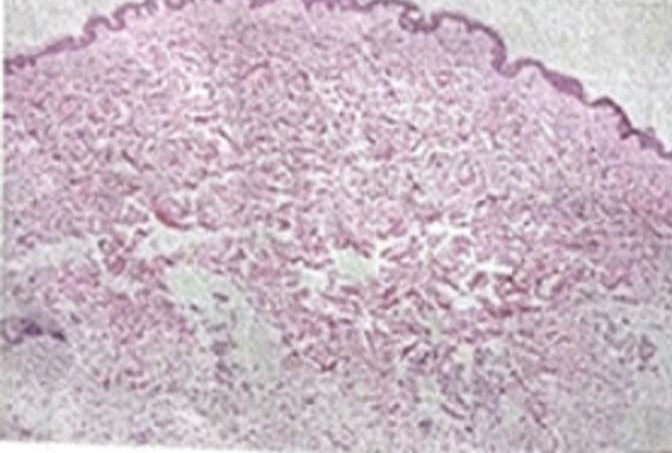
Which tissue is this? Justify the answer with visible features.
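Skin. A thin, darker-staining surface epithelium runs along the top edge with an undulating border. Below it lies a broad layer of pink, wavy fibrous bundles.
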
